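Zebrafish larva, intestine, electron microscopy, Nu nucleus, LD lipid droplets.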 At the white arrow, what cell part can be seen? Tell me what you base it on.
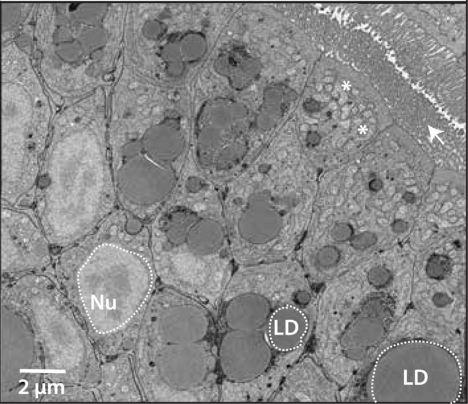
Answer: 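Microvilli. A fringe of fine projections runs along the upper right cell surface. The arrow points at this fringe.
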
